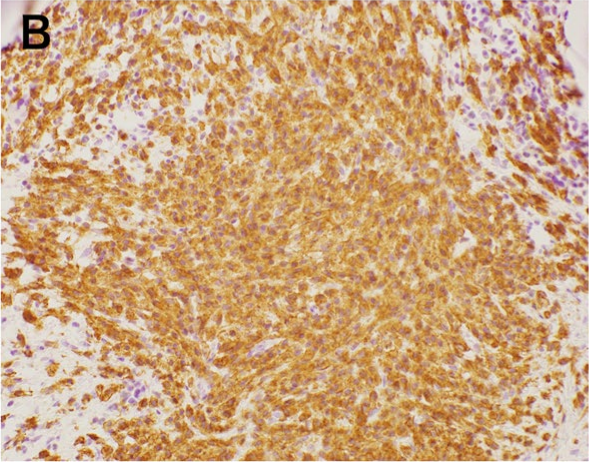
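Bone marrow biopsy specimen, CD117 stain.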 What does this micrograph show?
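The stained cells are spindle-shaped to oval and packed into a large compact aggregate, with elongated cells streaming out at the margins. Their oval nuclei show blue against the brown cytoplasm.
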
